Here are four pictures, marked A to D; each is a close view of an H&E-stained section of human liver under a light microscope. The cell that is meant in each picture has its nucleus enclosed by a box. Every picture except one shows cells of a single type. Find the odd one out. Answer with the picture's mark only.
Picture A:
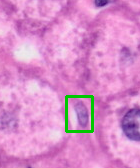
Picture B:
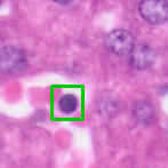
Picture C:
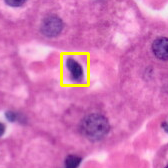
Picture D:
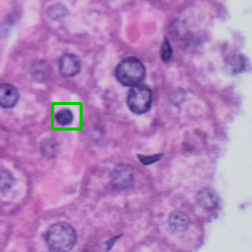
A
